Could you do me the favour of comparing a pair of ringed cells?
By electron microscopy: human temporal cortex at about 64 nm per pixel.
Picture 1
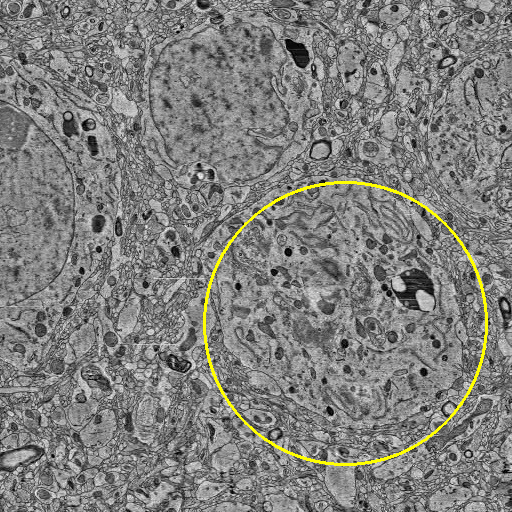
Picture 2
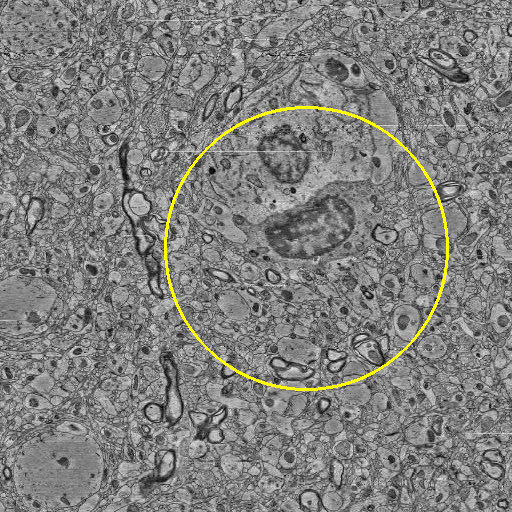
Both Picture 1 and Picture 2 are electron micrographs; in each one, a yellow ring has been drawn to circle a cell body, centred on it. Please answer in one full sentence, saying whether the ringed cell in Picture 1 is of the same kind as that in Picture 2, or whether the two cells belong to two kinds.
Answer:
The ringed cells in Picture 1 and Picture 2 belong to two kinds.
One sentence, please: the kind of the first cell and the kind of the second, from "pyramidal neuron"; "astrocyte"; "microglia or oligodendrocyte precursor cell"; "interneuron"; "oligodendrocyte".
The ring in the first picture surrounds an interneuron, and the ring in the second surrounds an oligodendrocyte.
